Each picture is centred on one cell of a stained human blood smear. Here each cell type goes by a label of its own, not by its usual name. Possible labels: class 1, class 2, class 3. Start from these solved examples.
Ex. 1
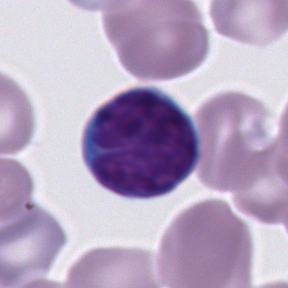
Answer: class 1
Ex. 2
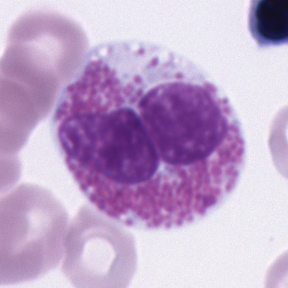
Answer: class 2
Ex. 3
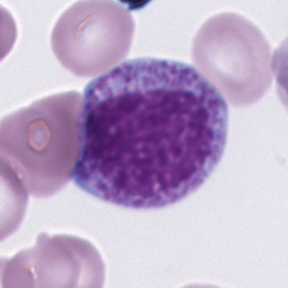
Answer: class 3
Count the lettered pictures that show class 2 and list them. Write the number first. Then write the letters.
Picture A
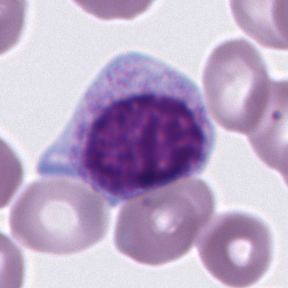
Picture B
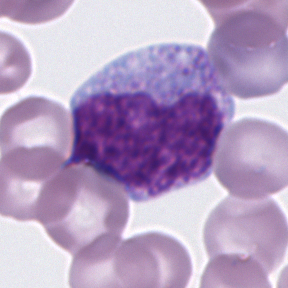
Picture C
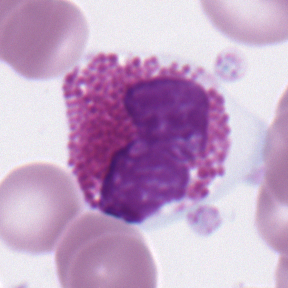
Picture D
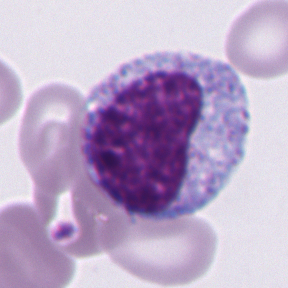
1, namely C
